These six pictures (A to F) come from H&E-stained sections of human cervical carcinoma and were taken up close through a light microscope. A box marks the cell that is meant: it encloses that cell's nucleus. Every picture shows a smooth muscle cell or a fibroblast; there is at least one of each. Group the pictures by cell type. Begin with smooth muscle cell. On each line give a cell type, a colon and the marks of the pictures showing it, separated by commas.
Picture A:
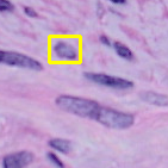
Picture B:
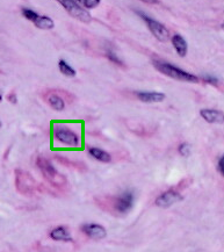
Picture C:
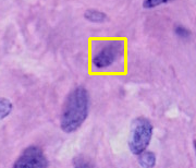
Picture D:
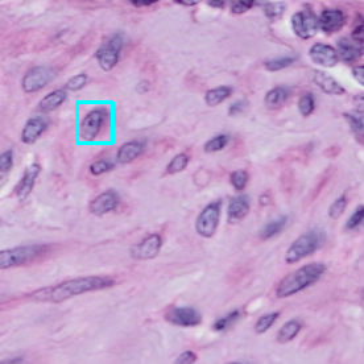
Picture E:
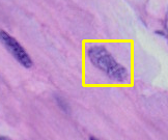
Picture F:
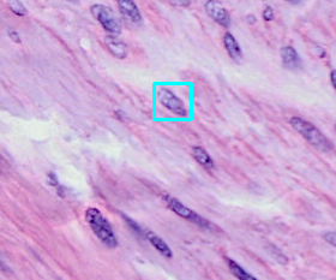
smooth muscle cell: A, B, D, F
fibroblast: C, E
